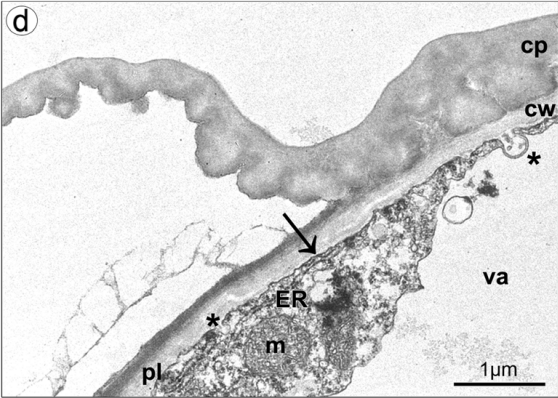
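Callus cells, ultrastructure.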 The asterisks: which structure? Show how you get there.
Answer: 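Small round membrane-bound profiles sit against the plasma membrane at the asterisks. So: vesicles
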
